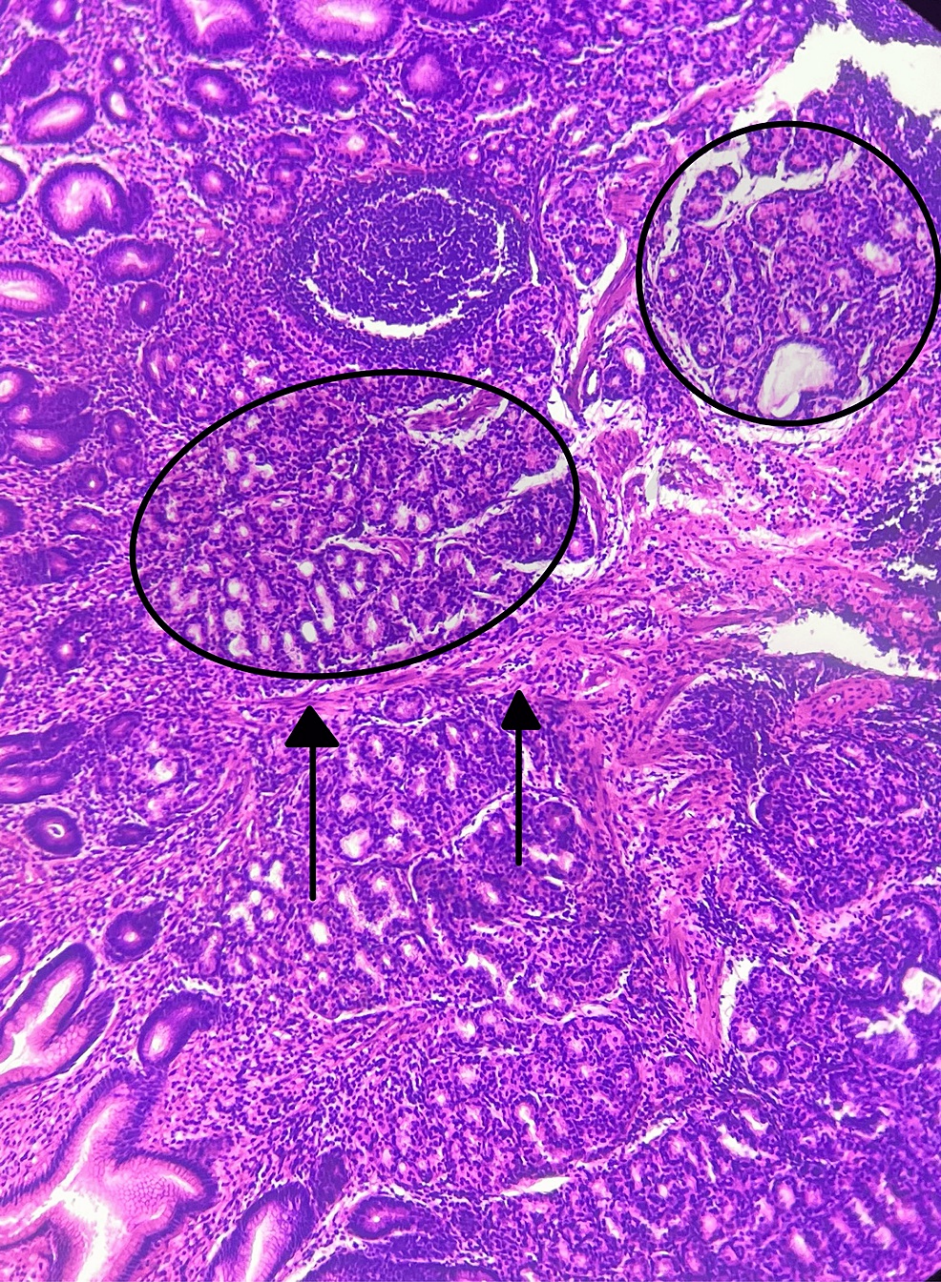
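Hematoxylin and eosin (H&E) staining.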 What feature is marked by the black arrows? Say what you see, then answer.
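The arrows point to a band of pink, elongated fibrous tissue. This pink band runs between clusters of glands and separates them.
Smooth muscle fibers or septa.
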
